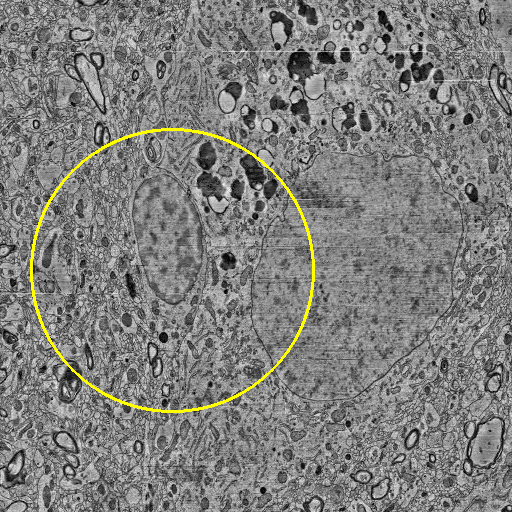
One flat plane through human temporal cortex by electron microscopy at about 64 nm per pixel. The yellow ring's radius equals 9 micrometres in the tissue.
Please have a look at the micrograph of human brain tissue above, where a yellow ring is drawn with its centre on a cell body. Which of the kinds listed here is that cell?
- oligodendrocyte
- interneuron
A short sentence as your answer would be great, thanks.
At the centre of the ring sits an oligodendrocyte.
